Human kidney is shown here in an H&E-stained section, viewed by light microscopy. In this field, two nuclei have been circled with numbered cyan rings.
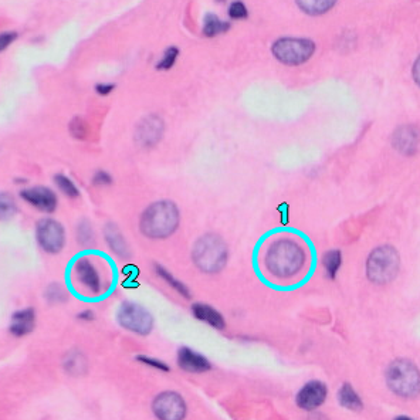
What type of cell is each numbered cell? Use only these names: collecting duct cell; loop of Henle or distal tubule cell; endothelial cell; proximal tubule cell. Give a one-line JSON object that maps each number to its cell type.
{"1": "proximal tubule cell", "2": "collecting duct cell"}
